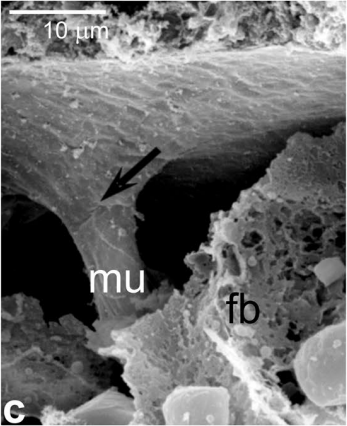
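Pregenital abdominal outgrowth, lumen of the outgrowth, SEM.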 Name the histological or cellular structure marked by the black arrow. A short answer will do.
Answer: muscle attachments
